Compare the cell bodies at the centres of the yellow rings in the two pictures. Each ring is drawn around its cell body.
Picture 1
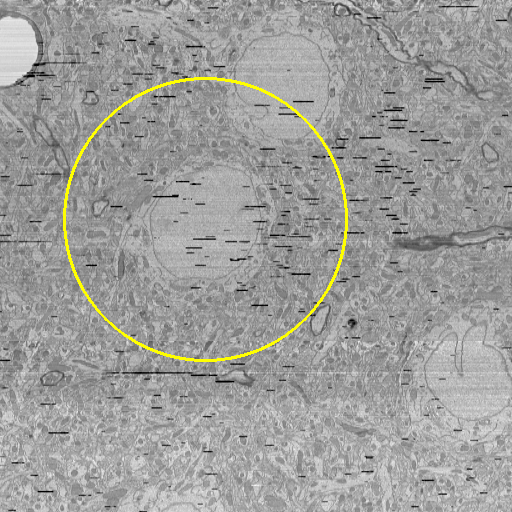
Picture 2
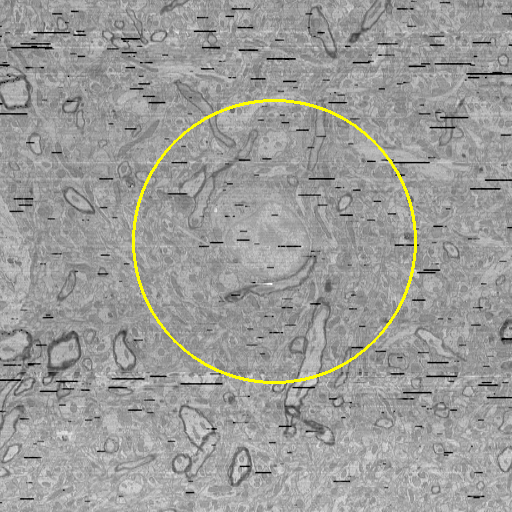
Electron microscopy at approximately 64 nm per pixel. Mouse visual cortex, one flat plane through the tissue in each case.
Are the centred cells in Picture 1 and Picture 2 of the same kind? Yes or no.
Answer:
no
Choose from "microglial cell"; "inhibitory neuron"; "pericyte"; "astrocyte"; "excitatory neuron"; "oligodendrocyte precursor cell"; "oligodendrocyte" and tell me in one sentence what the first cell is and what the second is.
What the first ring is centred on is an excitatory neuron; what the second ring is centred on is an oligodendrocyte.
